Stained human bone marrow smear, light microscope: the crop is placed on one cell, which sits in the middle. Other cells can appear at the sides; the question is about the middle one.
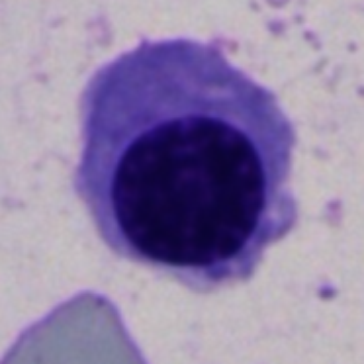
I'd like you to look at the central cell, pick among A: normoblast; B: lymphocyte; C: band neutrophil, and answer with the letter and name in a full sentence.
The cell in the center of this crop is a normoblast, so option A is the one to pick.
